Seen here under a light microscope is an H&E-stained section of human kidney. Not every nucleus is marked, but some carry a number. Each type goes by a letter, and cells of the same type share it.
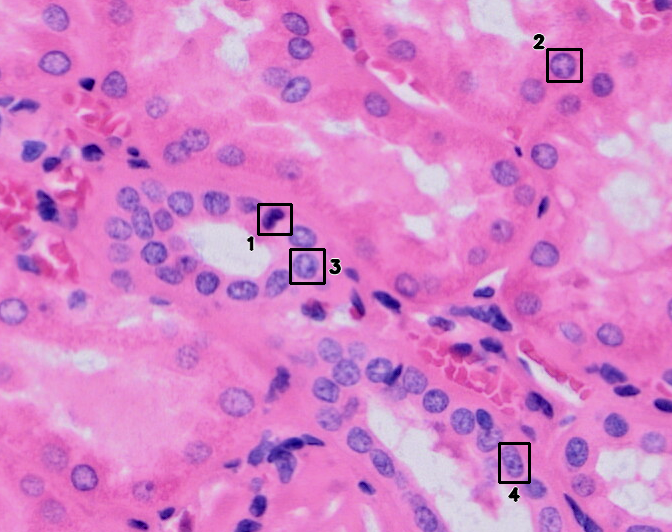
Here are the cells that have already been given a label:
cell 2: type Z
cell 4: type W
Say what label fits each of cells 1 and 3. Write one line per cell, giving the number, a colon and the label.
1: type W
3: type W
